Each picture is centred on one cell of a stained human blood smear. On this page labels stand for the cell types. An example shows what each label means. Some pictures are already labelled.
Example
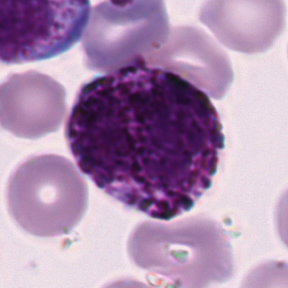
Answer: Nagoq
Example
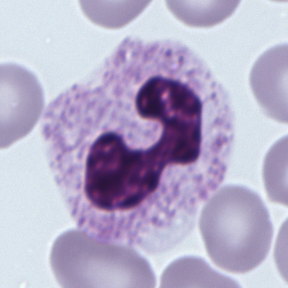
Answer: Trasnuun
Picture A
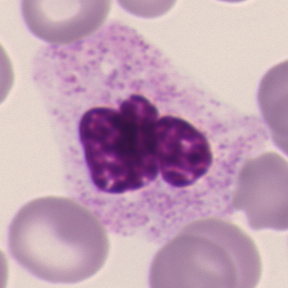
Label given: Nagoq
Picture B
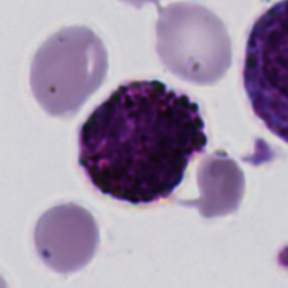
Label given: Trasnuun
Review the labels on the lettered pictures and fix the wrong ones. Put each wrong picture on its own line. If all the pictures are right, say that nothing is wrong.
A: change Nagoq to Trasnuun
B: change Trasnuun to Nagoq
